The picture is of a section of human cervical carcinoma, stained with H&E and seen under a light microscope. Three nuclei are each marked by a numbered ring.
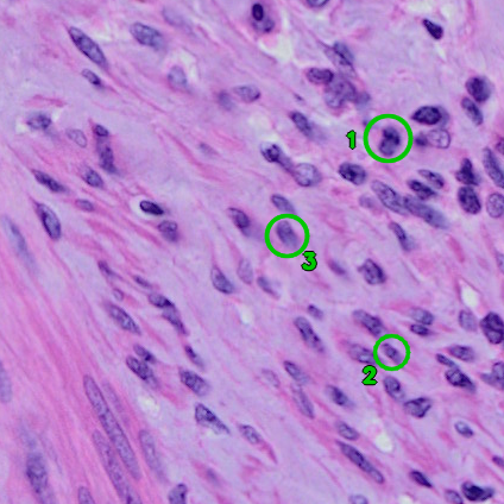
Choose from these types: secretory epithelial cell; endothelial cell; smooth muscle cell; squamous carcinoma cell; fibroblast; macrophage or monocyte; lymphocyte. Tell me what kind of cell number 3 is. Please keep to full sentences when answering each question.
The cell to which the number 3 is assigned is a smooth muscle cell.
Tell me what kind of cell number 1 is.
Here the cell numbered 1 is a lymphocyte.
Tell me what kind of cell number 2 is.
Heads up, the cell numbered 2 is a smooth muscle cell.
